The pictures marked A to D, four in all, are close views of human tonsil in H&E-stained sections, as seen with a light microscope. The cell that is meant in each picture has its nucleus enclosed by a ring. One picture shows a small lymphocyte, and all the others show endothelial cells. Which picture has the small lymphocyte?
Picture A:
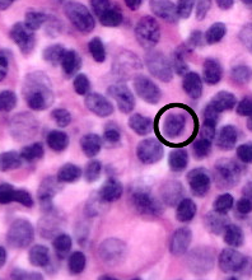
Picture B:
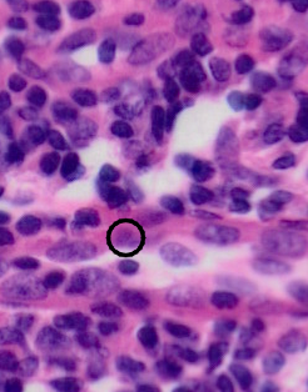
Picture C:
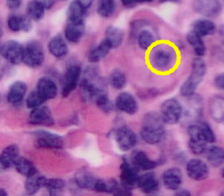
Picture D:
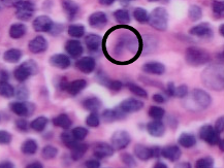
A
